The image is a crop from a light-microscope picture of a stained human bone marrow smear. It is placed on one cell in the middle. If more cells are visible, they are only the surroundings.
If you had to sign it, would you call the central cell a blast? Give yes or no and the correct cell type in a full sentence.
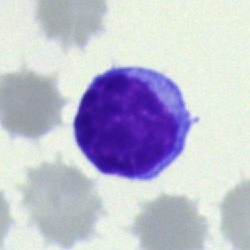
No; rather than a blast, the cell at the center is a lymphocyte.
